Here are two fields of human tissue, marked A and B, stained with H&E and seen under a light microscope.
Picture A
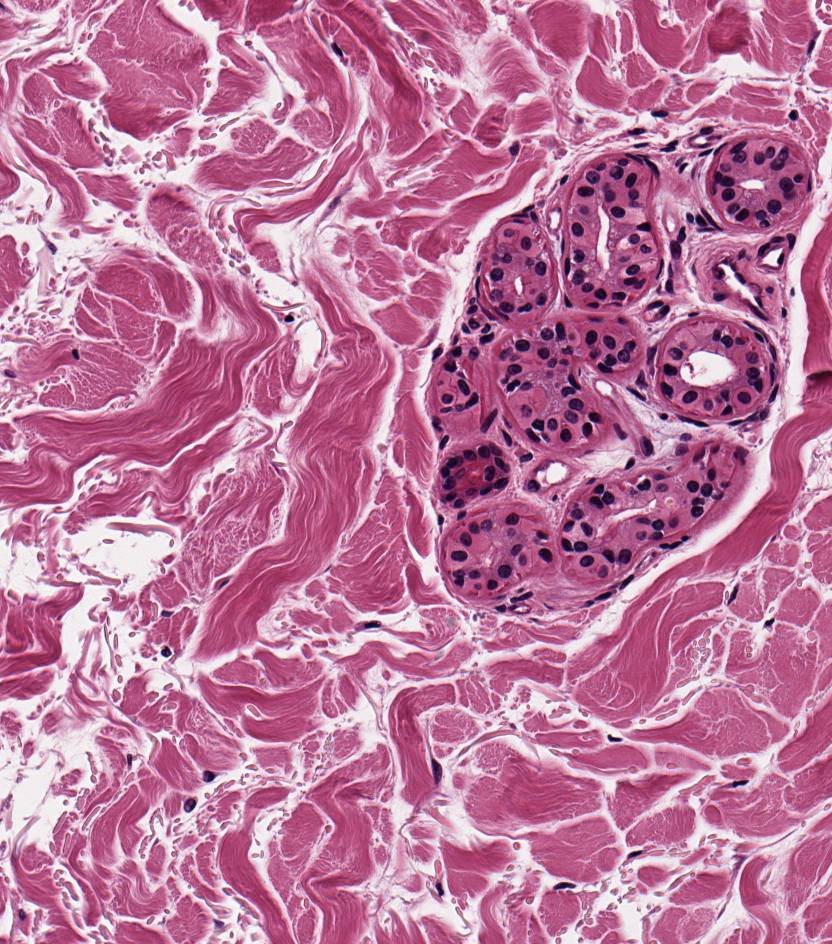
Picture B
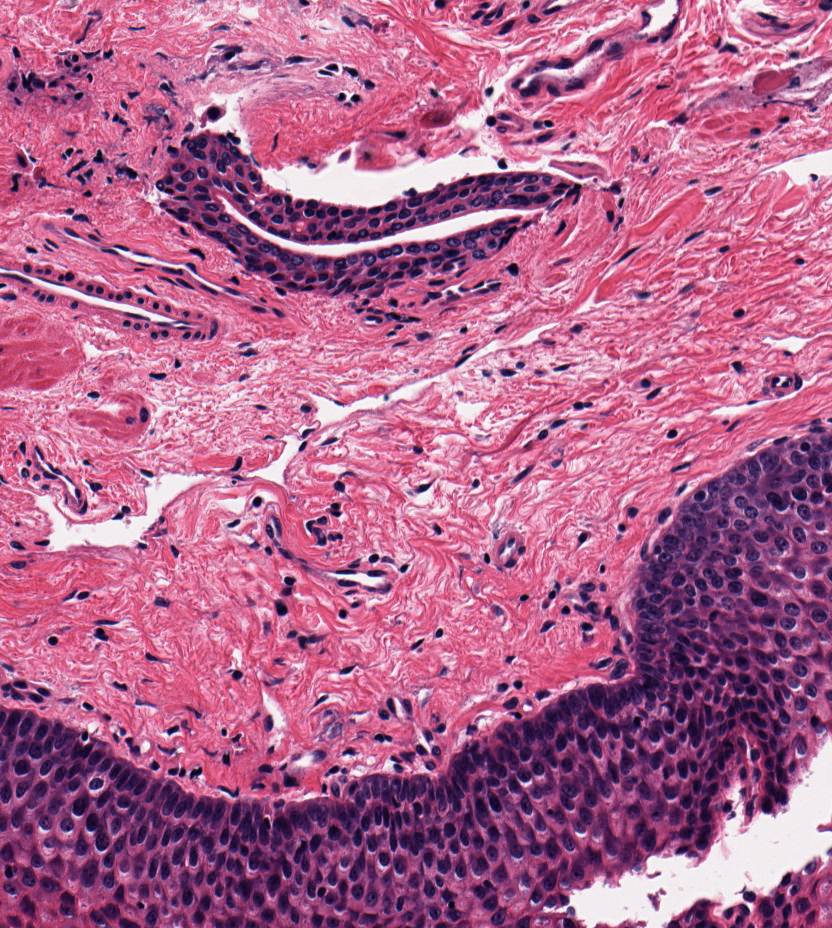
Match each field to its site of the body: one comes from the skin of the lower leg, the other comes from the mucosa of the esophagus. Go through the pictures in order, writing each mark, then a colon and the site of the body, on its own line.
A: skin of the lower leg
B: mucosa of the esophagus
